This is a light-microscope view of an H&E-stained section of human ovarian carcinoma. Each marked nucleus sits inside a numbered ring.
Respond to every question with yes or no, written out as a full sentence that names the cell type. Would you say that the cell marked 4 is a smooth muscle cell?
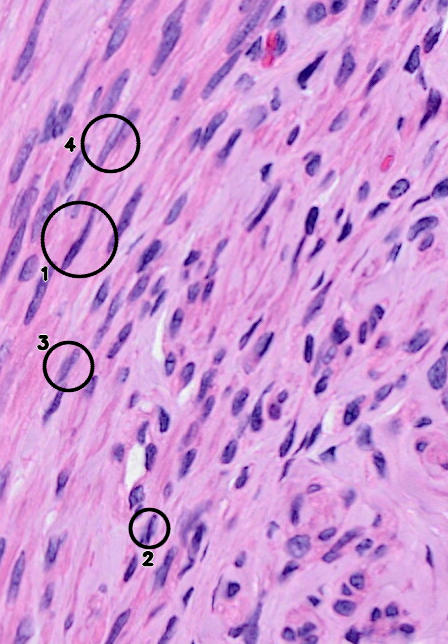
Yes, the cell with the mark numbered 4 is a smooth muscle cell.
